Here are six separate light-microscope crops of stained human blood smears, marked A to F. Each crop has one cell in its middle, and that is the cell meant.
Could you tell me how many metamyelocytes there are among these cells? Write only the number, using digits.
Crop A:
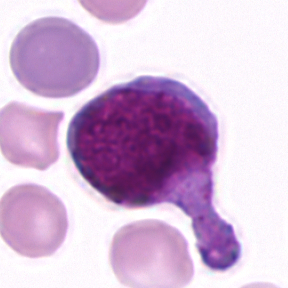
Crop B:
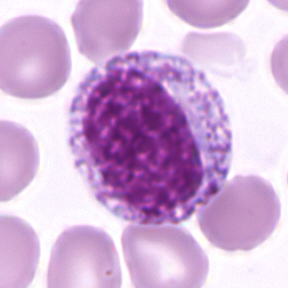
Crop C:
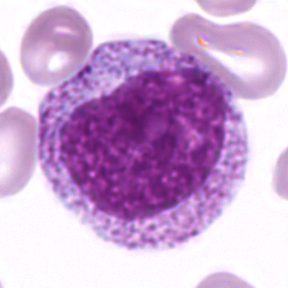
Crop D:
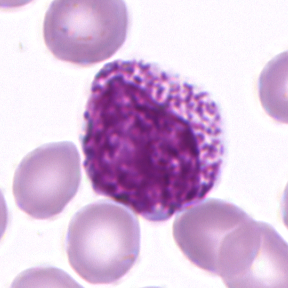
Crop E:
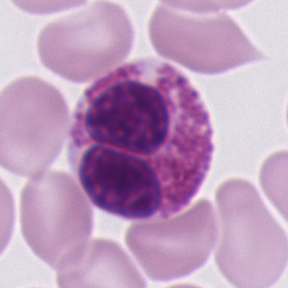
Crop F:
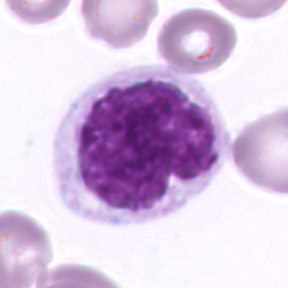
2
